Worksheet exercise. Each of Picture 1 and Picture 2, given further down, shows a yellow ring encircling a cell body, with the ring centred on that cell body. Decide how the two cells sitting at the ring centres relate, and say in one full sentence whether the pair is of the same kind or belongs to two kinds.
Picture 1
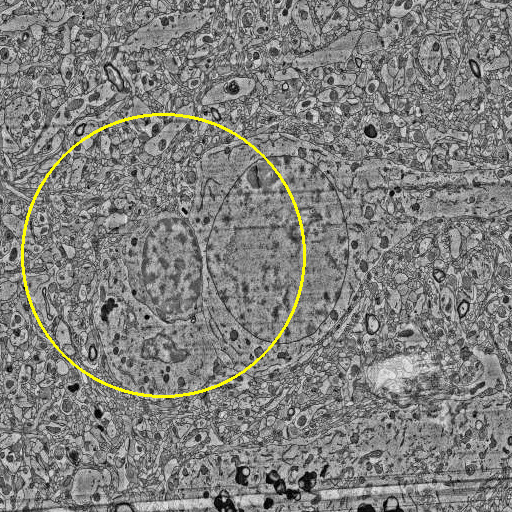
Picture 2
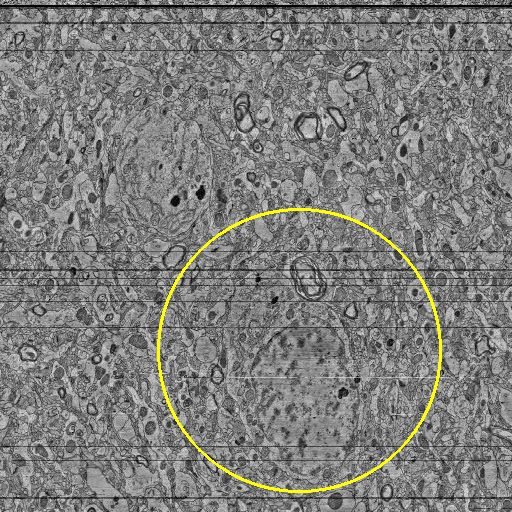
The cells at the ring centres in Picture 1 and Picture 2 belong to two kinds.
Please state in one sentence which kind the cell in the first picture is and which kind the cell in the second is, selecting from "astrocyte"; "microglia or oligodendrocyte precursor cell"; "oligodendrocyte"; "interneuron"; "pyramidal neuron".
The first ringed cell is an oligodendrocyte, the second ringed cell an interneuron.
